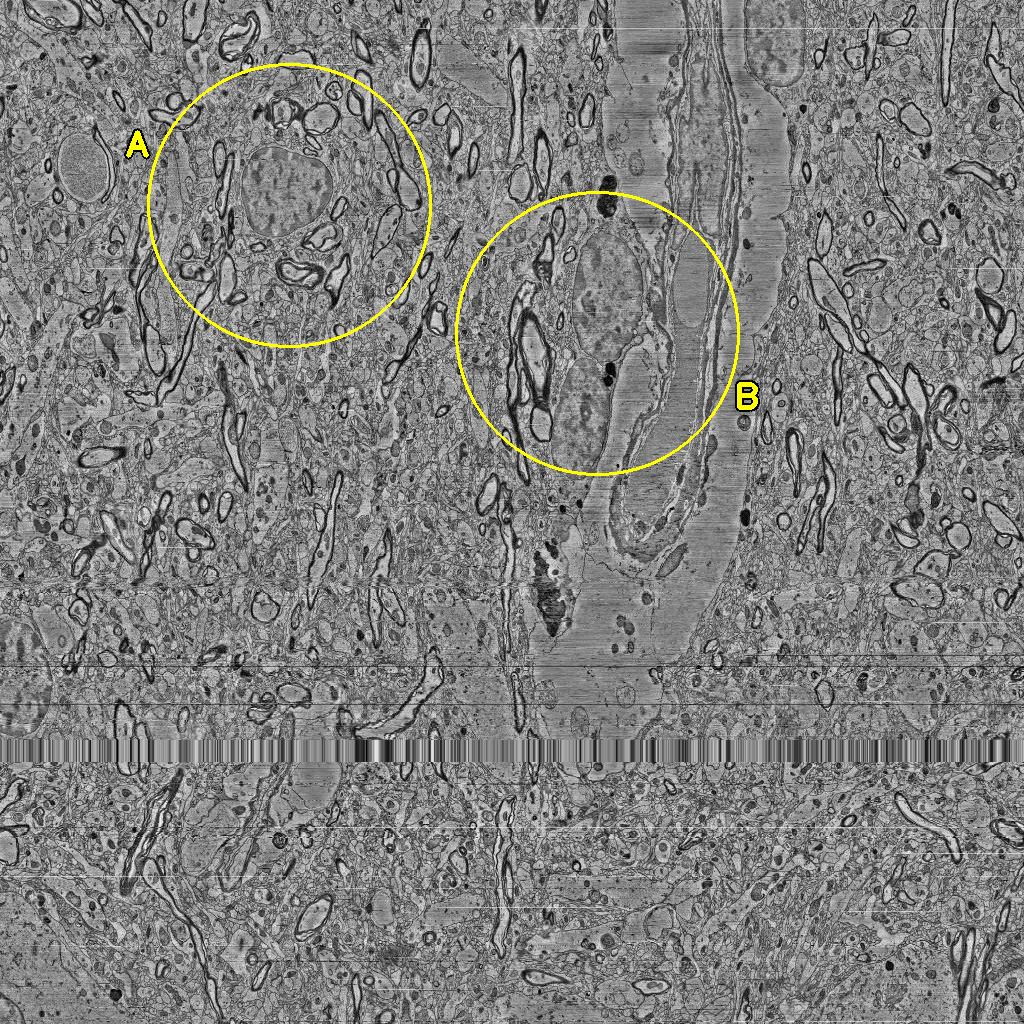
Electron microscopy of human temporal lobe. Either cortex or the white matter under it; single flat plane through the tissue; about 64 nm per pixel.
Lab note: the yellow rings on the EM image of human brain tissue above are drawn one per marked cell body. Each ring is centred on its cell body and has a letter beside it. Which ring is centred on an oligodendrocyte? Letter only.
B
